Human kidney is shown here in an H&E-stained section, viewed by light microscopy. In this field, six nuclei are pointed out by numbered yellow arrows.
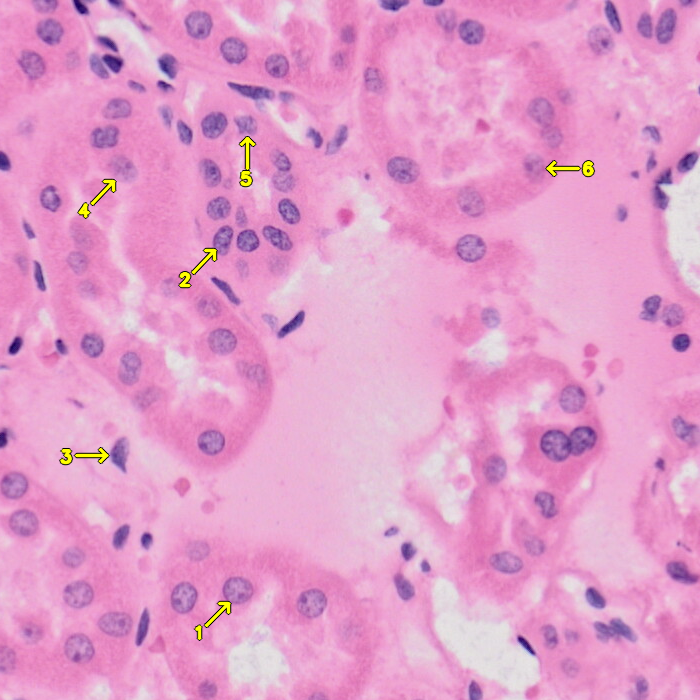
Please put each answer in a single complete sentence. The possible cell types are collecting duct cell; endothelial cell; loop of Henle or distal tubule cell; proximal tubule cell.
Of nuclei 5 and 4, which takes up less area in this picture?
Nucleus 5 is the smaller one; nucleus 4 covers about 2 times its area.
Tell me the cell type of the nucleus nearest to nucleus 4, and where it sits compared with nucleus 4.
Just above and to the left of nucleus 4 lies the nearest nucleus, which belongs to a proximal tubule cell.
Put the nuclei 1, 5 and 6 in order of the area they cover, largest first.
The nuclei rank 1, 6, 5, from largest to smallest.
